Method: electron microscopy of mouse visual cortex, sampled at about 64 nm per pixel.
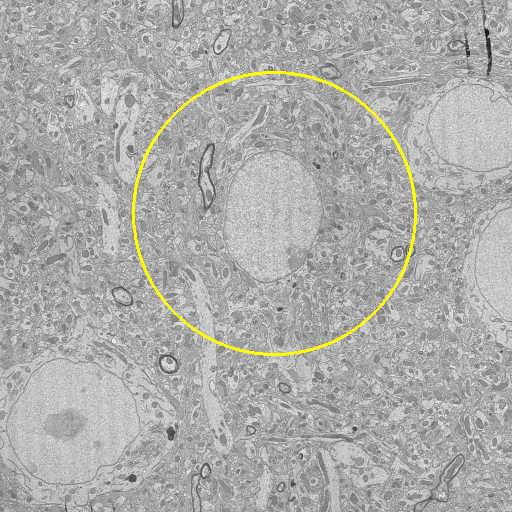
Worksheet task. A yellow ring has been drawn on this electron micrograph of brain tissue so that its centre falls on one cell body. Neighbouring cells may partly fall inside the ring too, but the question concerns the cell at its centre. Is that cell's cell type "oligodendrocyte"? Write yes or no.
no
